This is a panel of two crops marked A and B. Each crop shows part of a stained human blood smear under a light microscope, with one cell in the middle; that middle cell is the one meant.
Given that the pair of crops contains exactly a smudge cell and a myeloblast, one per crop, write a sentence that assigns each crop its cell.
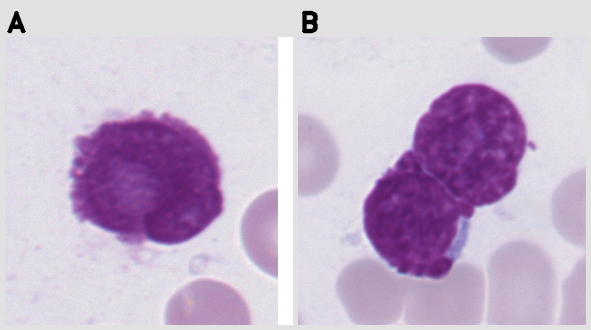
Recognised in crop A is a smudge cell, and recognised in crop B is a myeloblast.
